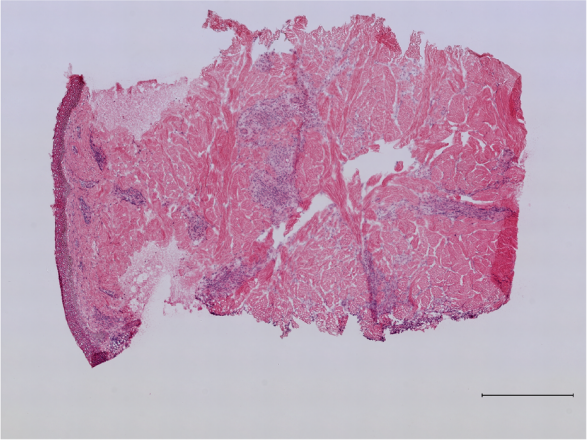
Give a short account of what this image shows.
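This is a low-power section through skin, stained pink and purple. Along the left edge runs a thin, darker band: the surface epithelium, with a narrow zone of finer tissue just beneath it. Most of the section is taken up by coarse, wavy pink bundles of collagen, loosely interwoven, with cracks and clefts between them. Scattered through these bundles are purple patches. You can only see the layers and how the cells are spread through them.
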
